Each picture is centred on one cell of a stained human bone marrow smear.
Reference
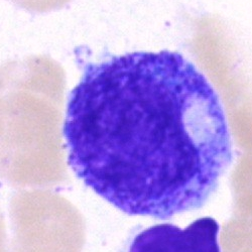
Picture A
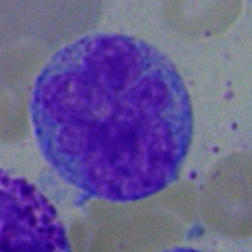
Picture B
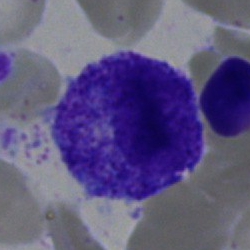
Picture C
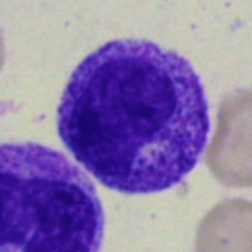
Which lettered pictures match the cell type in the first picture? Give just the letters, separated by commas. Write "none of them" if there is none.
B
